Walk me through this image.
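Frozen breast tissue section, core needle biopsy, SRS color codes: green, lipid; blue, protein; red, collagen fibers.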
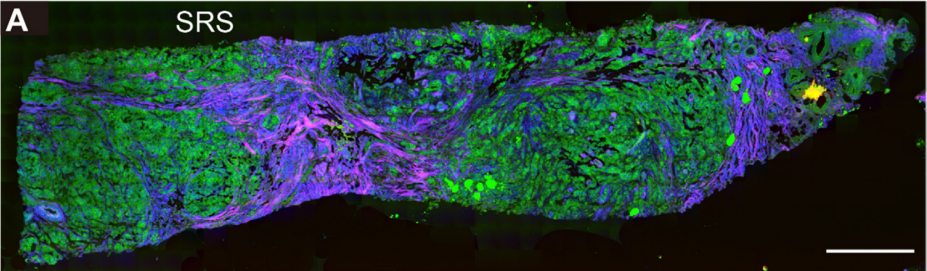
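A long, narrow strip of tissue is mostly taken up by broad, densely packed green regions of cells, which are cut across by bands of magenta-pink fibres and bluish stroma. Toward the right end a few small, rounded gland-like profiles sit in looser blue and pink stroma.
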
